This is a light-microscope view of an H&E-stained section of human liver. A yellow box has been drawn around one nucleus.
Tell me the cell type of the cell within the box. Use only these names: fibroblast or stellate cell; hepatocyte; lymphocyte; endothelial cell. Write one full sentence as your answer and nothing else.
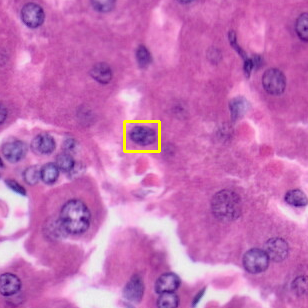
In this section, the cell within the box is a fibroblast or stellate cell.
